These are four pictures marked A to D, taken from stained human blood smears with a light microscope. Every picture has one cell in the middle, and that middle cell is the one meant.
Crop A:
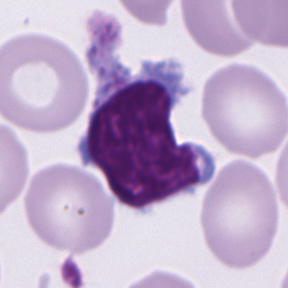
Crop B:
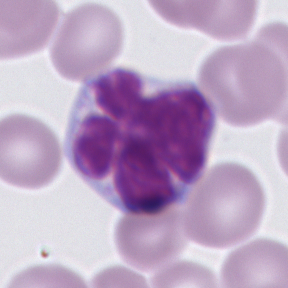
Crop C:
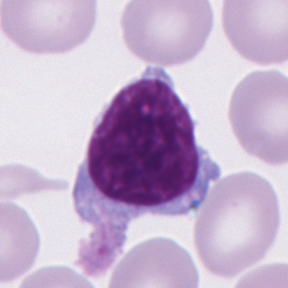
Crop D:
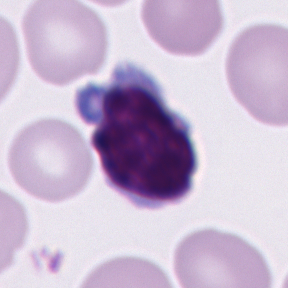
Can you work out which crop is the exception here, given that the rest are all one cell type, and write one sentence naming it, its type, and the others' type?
There is a large granular lymphocyte in crop B, while all the other crops show typical lymphocytes.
